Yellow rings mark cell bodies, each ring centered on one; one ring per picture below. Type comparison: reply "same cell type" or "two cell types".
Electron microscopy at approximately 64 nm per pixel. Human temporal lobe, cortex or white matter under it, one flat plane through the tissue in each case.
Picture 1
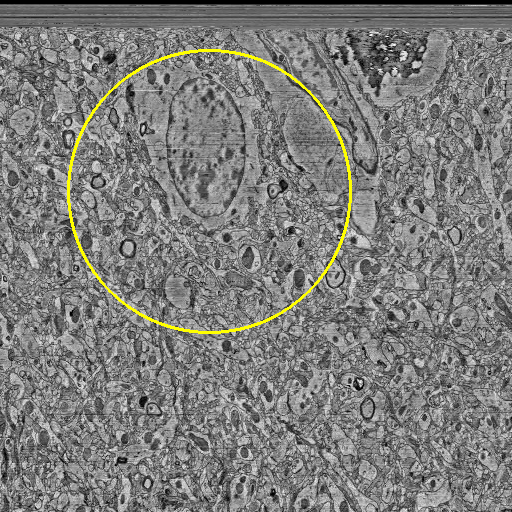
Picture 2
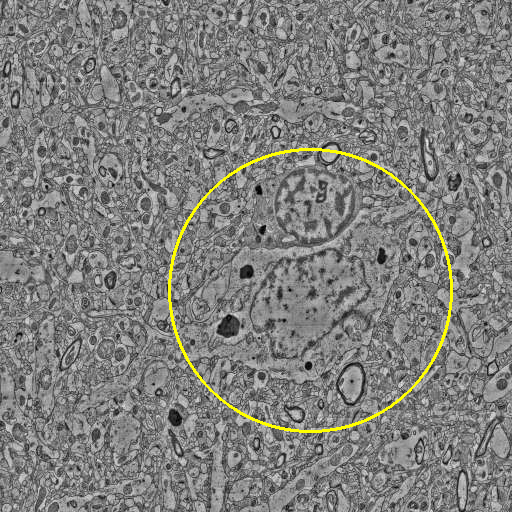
two cell types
